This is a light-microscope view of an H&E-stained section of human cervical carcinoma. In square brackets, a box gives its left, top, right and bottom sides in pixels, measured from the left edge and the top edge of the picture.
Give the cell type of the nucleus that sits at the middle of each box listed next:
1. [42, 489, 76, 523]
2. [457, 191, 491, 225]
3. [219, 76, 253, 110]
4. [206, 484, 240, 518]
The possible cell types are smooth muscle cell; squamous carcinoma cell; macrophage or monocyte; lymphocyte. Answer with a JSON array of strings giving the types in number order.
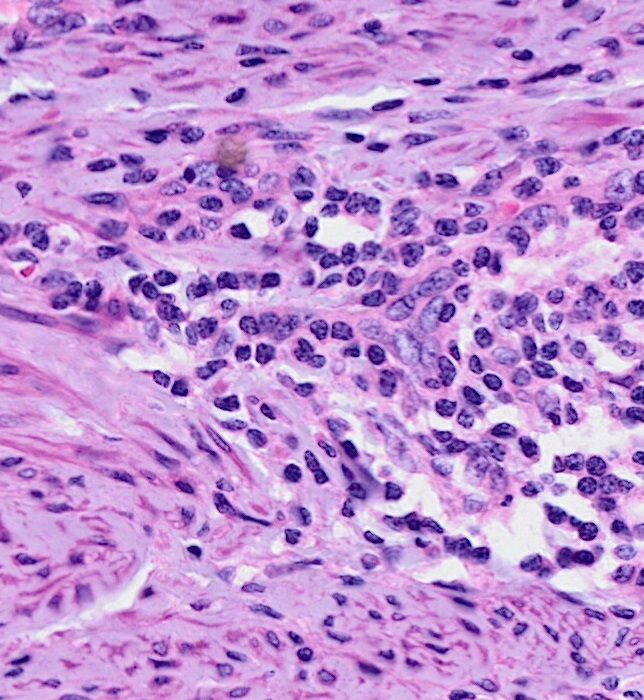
["smooth muscle cell", "lymphocyte", "lymphocyte", "lymphocyte"]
